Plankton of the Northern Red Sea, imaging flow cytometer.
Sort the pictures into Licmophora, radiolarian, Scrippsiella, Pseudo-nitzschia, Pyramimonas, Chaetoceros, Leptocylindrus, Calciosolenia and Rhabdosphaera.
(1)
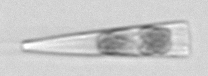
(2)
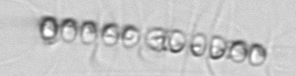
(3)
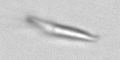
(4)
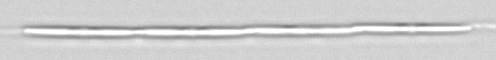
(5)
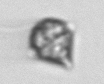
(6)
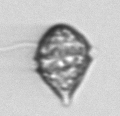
Licmophora: 1
Chaetoceros: 2
Calciosolenia: 3
Pseudo-nitzschia: 4
Scrippsiella: 5, 6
